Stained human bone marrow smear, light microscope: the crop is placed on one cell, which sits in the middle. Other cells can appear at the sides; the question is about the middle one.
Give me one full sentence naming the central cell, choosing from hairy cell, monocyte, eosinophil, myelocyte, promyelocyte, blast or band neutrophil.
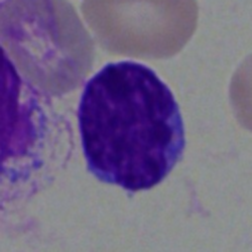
The cell at the middle of the crop is recognized as a blast.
